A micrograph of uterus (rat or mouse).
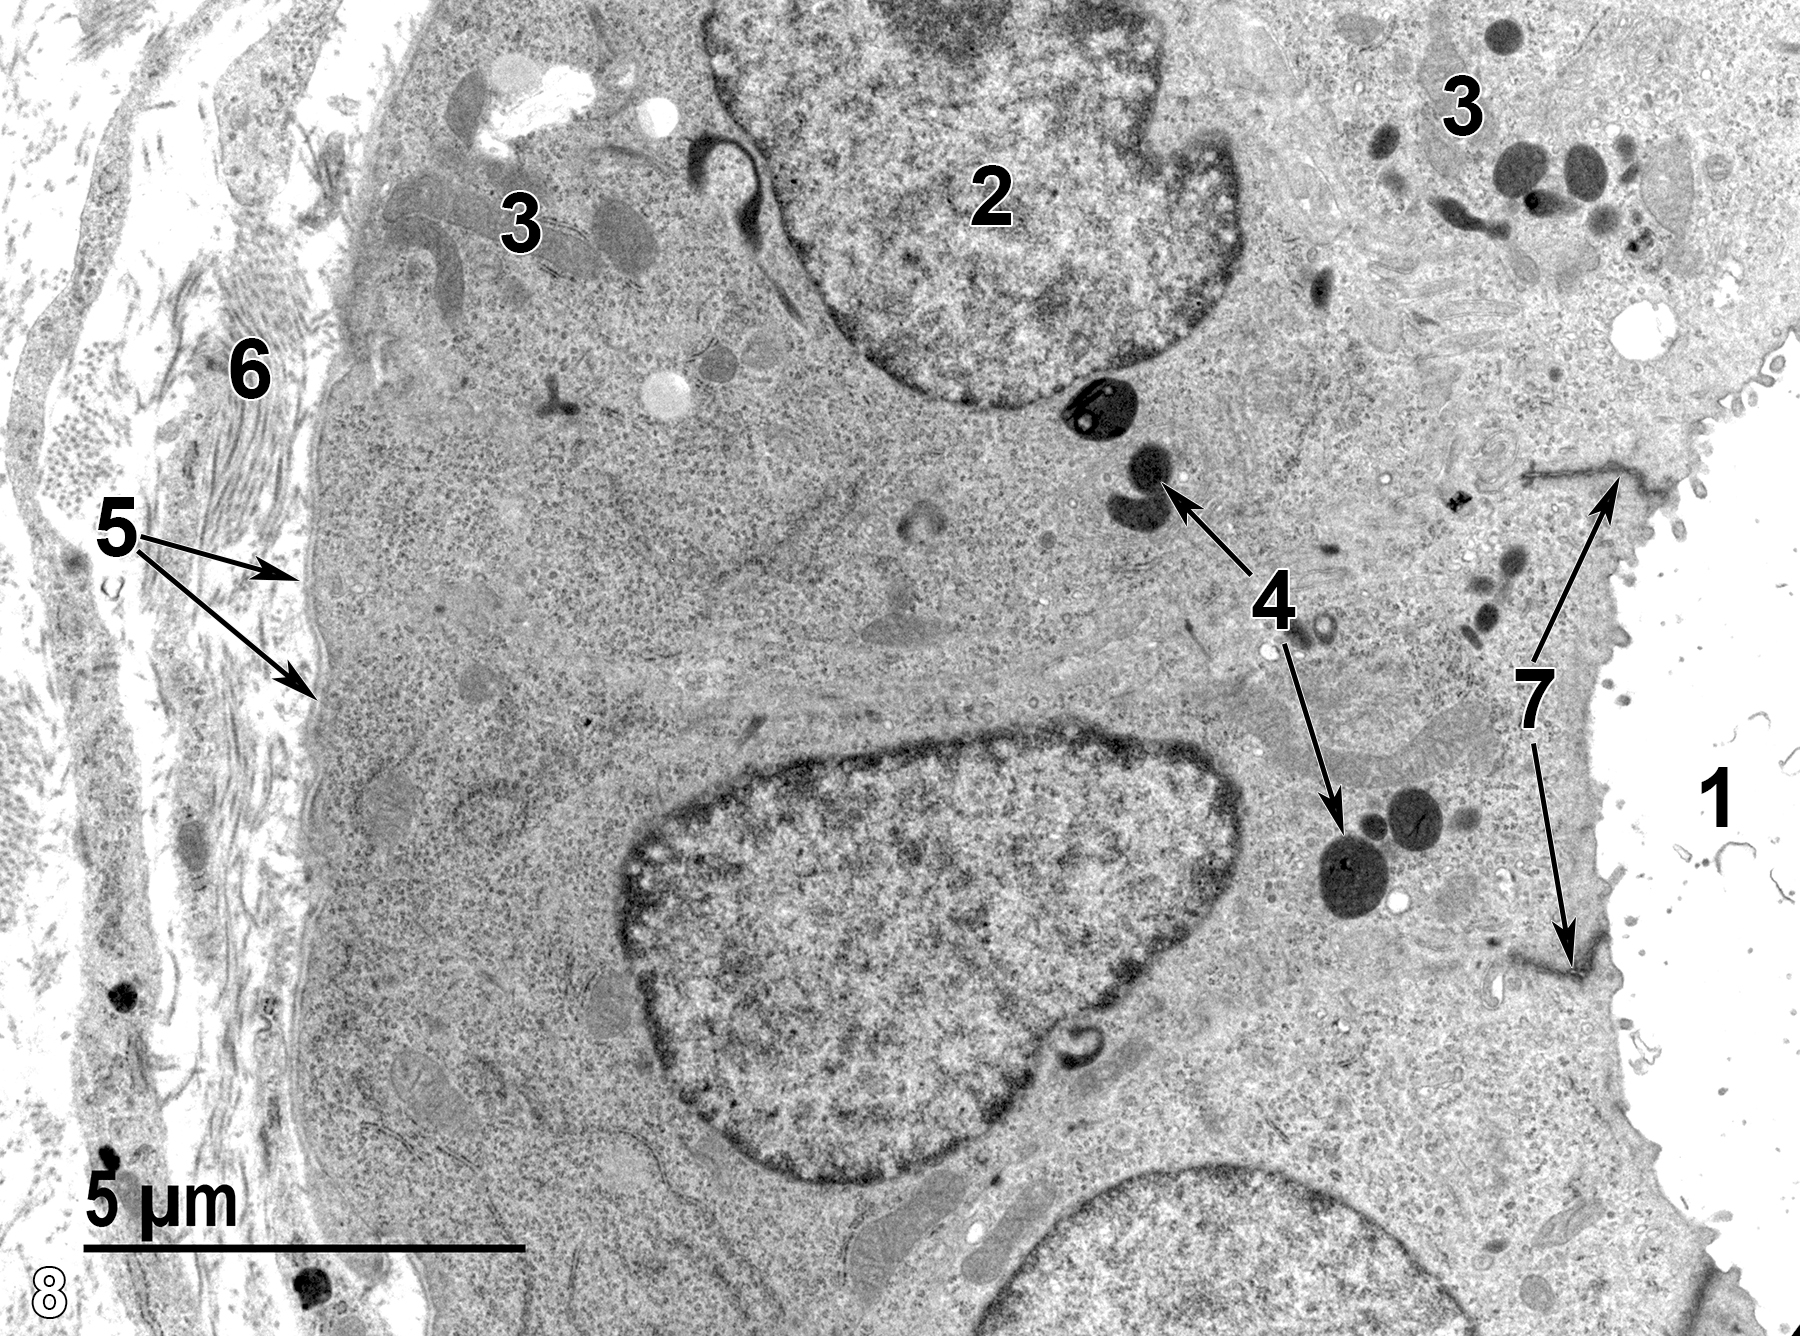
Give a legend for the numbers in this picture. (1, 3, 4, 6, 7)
1. glandular lumen
3. pleomorphic mitochondria
4. apical secretory granules
6. collagenous matrix
7. junctional complexes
